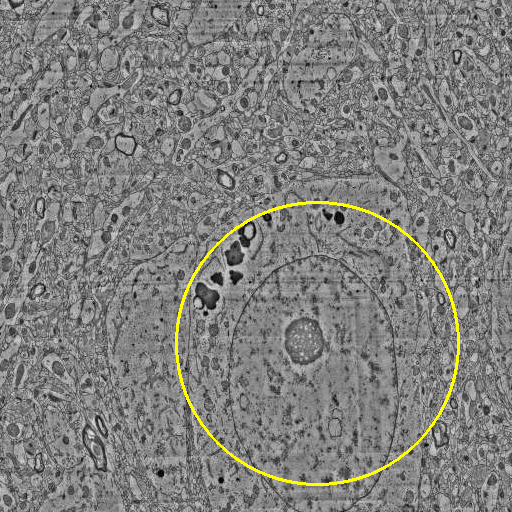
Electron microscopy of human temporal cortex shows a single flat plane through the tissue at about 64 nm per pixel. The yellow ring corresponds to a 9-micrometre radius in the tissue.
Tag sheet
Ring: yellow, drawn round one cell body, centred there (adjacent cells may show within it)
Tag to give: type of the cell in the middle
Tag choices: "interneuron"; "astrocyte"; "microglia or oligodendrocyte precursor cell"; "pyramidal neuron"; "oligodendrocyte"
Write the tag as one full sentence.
I tag the cell centred in the yellow ring as a pyramidal neuron in this picture.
